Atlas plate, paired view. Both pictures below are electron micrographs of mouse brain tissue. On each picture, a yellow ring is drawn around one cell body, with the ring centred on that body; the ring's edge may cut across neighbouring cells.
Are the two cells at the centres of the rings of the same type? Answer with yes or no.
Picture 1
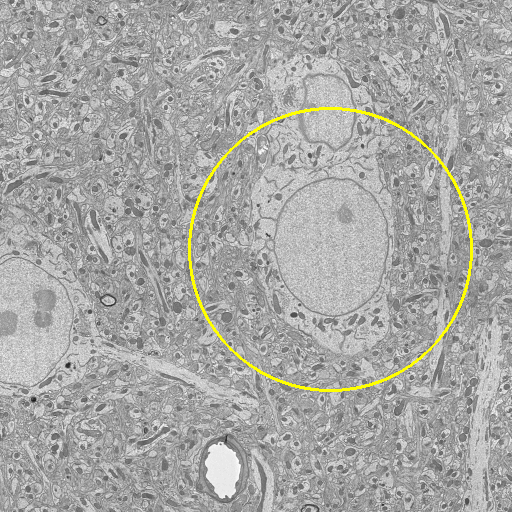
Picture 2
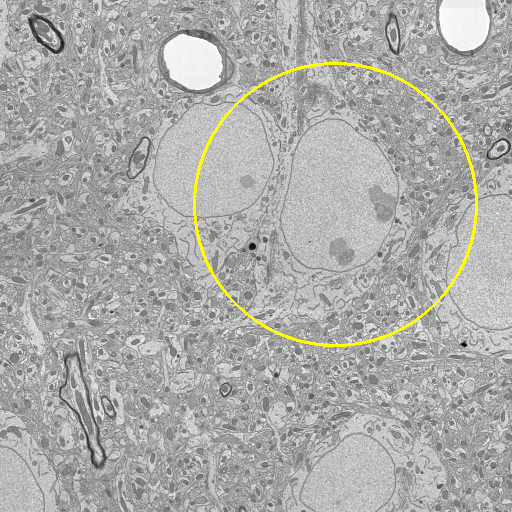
yes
